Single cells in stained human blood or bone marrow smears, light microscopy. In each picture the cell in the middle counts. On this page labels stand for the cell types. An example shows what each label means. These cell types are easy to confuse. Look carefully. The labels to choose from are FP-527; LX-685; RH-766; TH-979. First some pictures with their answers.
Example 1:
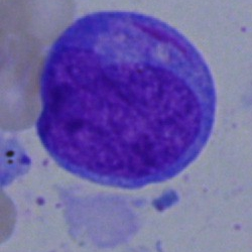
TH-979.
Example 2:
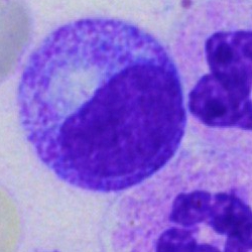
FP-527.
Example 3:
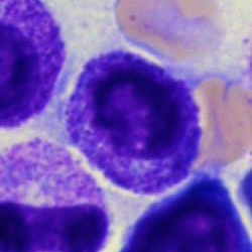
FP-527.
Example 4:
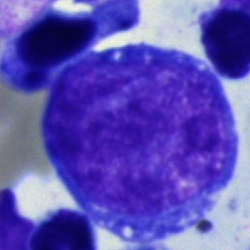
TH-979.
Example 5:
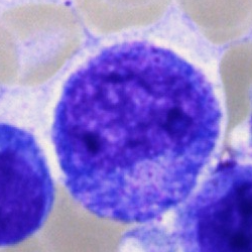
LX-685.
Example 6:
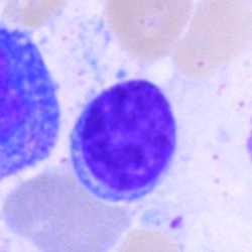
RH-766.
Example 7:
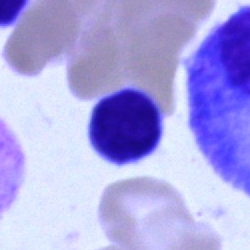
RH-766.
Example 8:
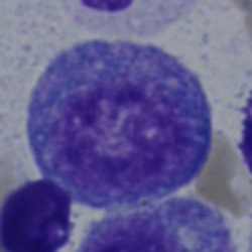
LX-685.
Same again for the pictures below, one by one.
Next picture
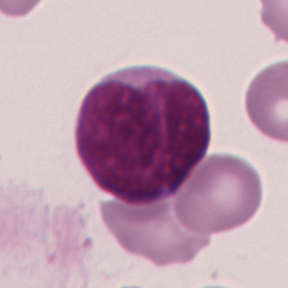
TH-979.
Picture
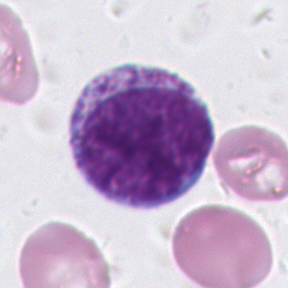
FP-527.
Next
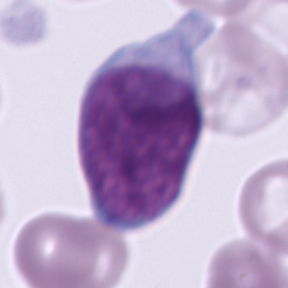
TH-979.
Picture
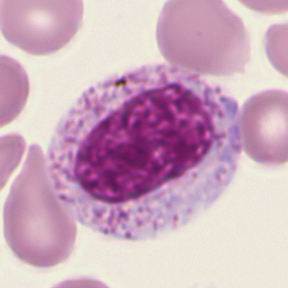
FP-527.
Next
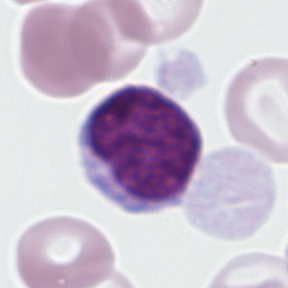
RH-766.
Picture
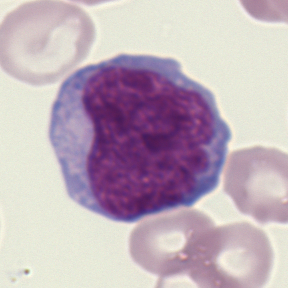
TH-979.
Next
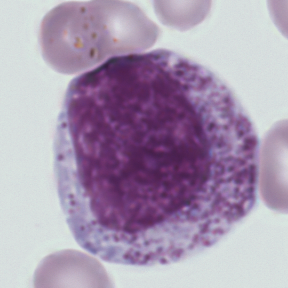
LX-685.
